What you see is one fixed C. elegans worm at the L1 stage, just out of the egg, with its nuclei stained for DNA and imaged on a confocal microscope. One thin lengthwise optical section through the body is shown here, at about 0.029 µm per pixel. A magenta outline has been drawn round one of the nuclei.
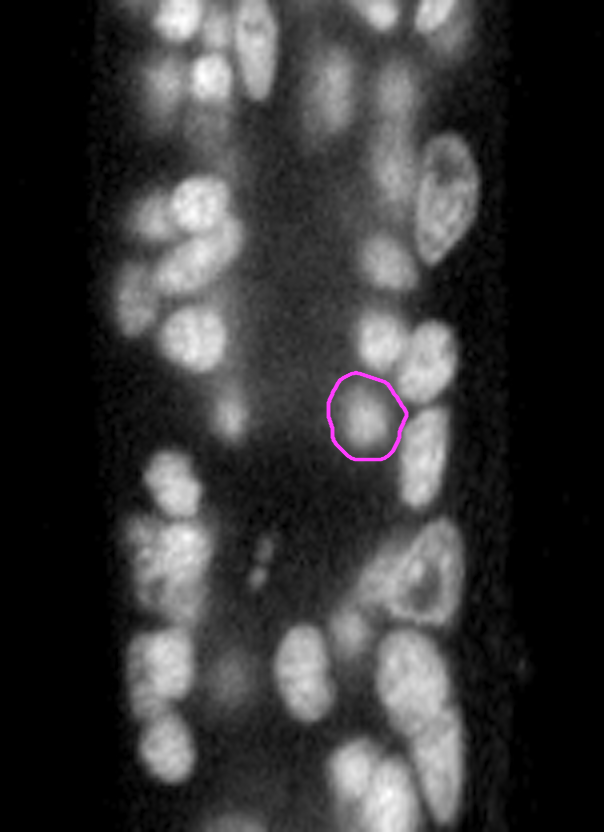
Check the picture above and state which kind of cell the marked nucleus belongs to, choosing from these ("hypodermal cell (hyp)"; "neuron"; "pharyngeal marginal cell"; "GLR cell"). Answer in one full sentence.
It belongs to a GLR cell.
